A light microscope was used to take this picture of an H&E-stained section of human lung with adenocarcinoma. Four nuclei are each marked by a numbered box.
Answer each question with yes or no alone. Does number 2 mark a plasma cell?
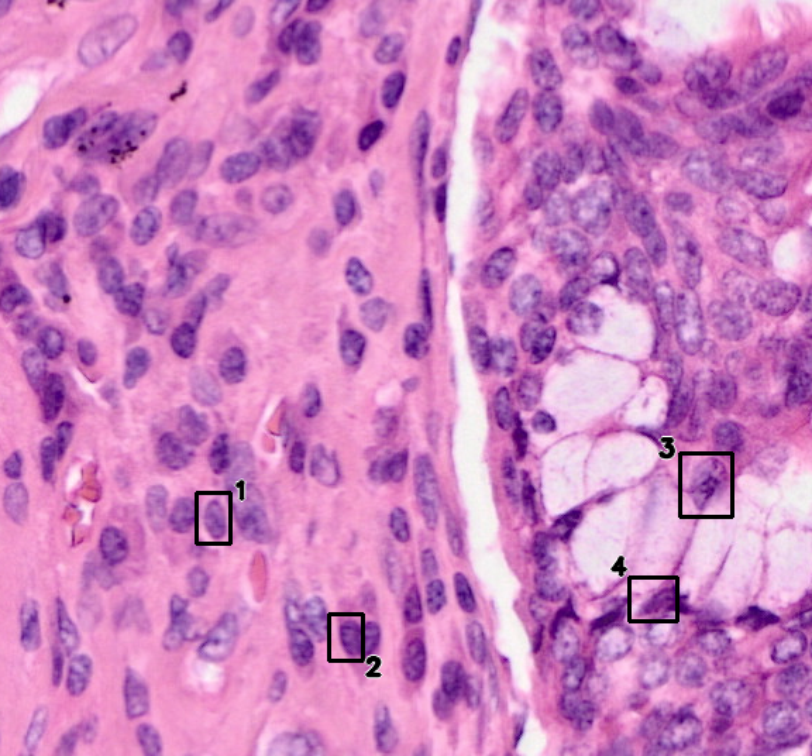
yes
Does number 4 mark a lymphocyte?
no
